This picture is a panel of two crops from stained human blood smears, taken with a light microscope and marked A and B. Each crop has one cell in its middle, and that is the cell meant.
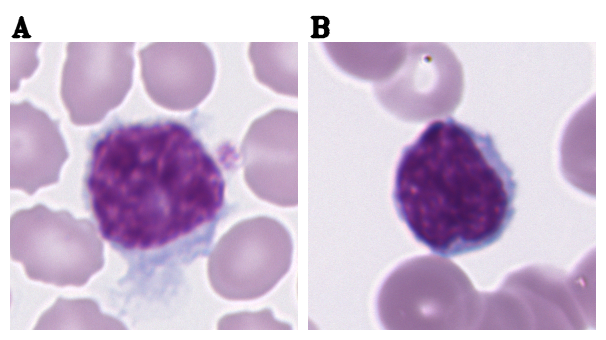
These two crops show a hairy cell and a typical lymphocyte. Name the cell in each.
A: hairy cell
B: typical lymphocyte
